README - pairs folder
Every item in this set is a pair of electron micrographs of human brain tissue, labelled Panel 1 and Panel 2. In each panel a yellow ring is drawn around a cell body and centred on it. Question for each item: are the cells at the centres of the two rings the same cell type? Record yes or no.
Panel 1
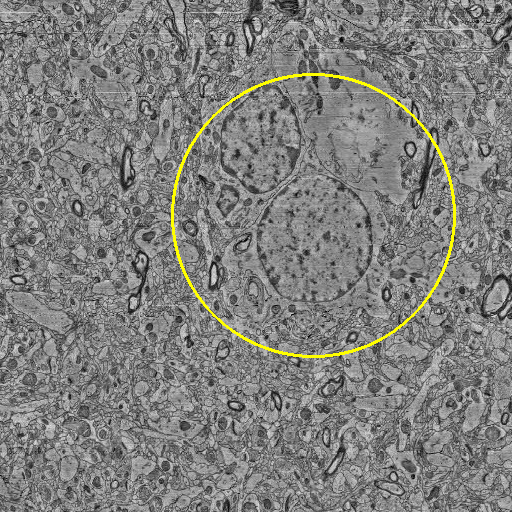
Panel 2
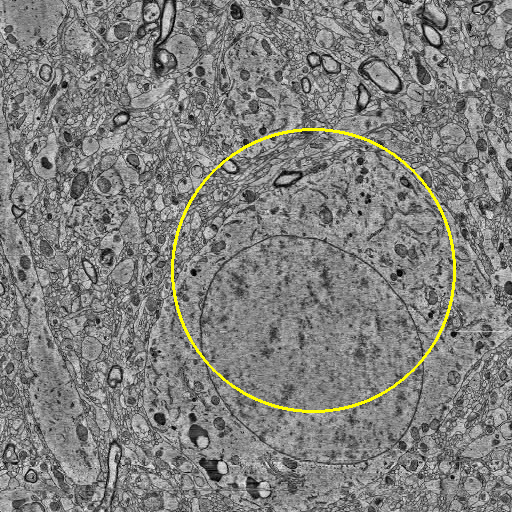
no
